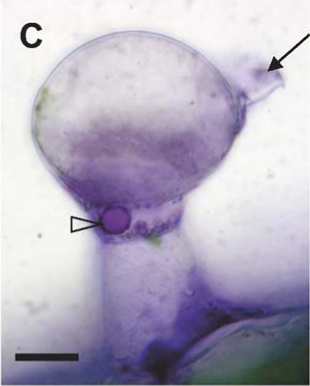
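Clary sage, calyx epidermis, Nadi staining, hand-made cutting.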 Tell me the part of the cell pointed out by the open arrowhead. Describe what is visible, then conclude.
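Terpene droplet. The arrowhead points to a small round body, stained dark purple. The body lies at the base of the head, where it joins the stalk.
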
